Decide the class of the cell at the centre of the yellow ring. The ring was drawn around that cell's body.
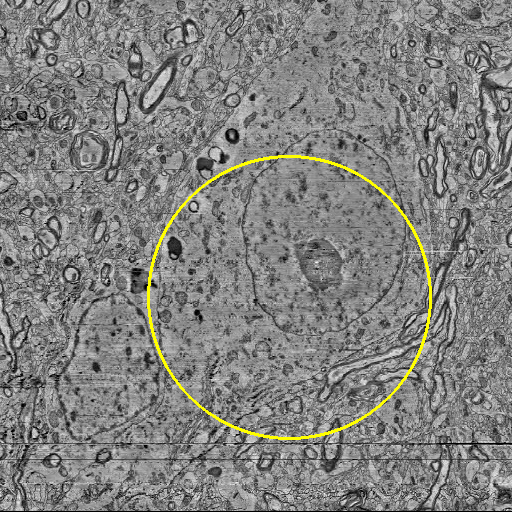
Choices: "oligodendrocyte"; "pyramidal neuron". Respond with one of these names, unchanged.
pyramidal neuron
